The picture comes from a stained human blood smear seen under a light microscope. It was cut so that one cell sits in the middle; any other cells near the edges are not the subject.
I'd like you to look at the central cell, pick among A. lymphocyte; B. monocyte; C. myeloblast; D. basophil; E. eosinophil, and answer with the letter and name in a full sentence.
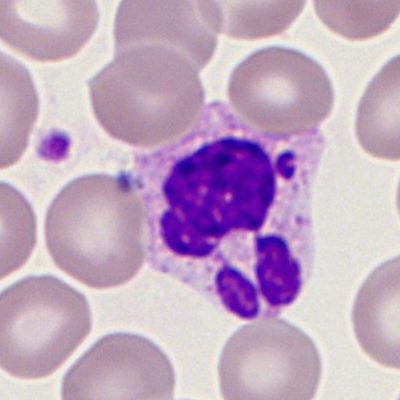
The cell positioned centrally is a basophil, as given in option D, which is correct.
